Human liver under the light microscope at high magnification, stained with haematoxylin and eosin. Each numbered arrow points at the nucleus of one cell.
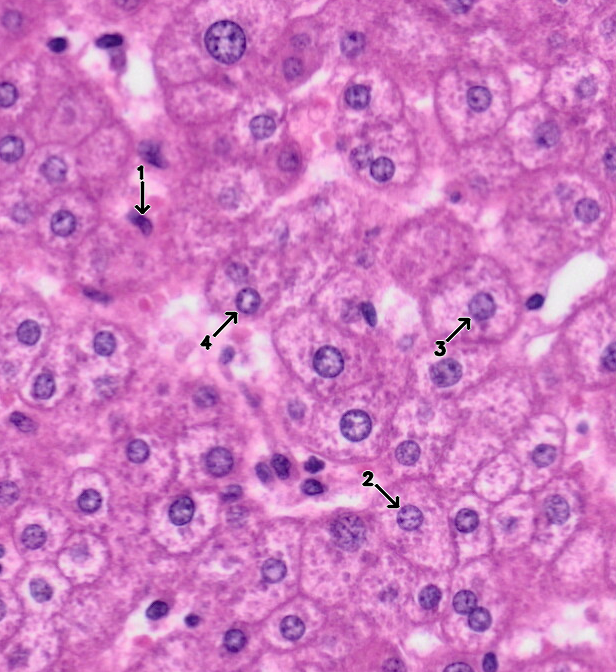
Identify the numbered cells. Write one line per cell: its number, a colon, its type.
1: Kupffer cell
2: hepatocyte
3: hepatocyte
4: hepatocyte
